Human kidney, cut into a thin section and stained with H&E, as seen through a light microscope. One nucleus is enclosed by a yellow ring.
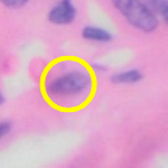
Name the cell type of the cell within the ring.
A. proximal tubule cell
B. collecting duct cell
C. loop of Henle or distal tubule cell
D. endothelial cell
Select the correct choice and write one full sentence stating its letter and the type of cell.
According to option B, the cell within the ring is a collecting duct cell, and this is correct.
